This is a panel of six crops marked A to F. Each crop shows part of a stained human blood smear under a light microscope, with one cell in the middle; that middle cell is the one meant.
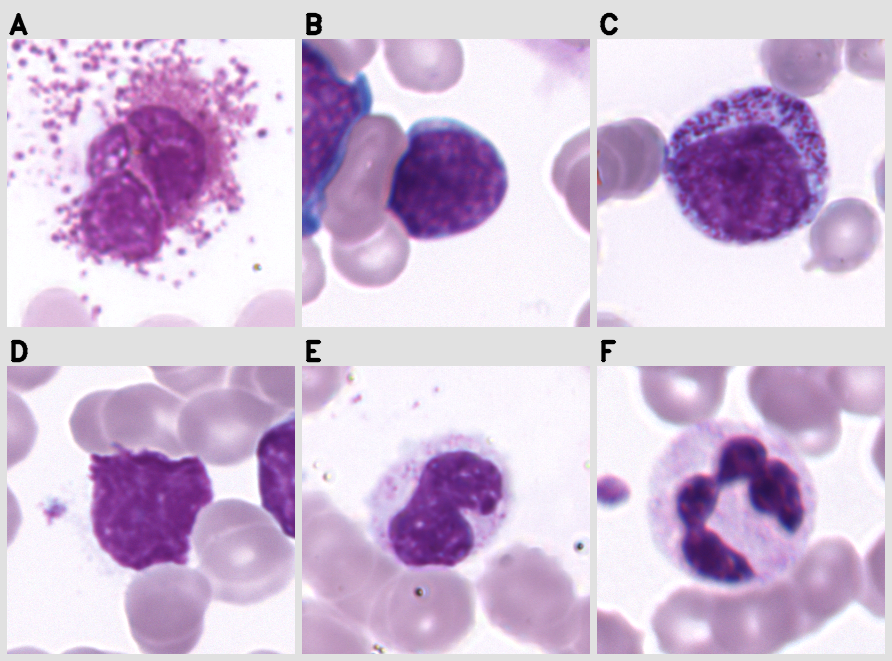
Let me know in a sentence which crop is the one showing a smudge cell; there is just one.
Only in crop D is a smudge cell shown.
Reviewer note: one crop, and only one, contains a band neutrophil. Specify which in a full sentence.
The crop that has a band neutrophil in the middle is crop E.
